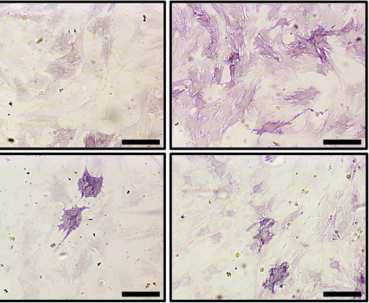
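Four fields of flattened, elongated and spindle-shaped cells spread across a pale background, with faint outlines of unstained cells between them. Some cells carry a violet-purple stain in their cytoplasm; in one field many such stained spindle cells lie in loose groups, while in the others only a few scattered, irregular or star-shaped purple cells stand out.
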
